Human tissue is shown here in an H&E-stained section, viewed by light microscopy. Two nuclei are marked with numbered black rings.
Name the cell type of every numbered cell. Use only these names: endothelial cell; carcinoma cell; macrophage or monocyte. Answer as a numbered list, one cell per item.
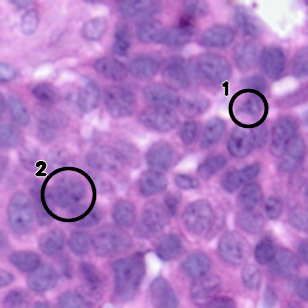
1. macrophage or monocyte
2. carcinoma cell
